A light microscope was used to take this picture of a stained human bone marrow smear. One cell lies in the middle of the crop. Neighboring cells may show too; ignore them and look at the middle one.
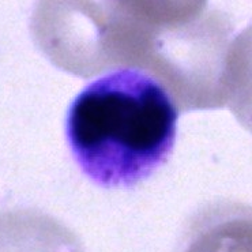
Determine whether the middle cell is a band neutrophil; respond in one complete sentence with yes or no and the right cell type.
No, the cell of interest here is a segmented neutrophil and not a band neutrophil.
